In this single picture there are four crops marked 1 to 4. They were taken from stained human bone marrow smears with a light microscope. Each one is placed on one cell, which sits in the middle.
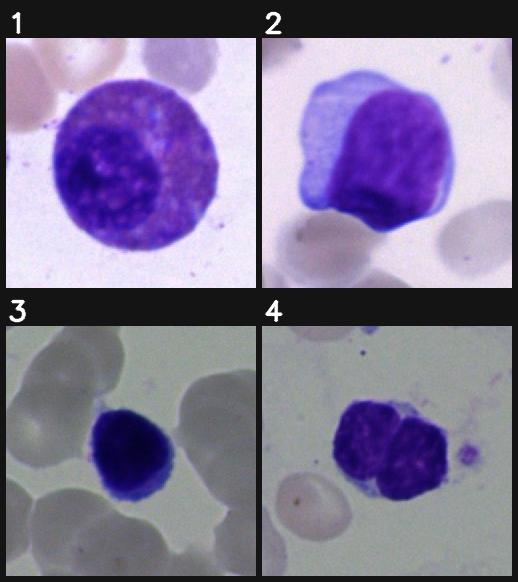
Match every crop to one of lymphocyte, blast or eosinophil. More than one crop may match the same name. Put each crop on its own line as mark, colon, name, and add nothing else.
1: eosinophil
2: blast
3: lymphocyte
4: lymphocyte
